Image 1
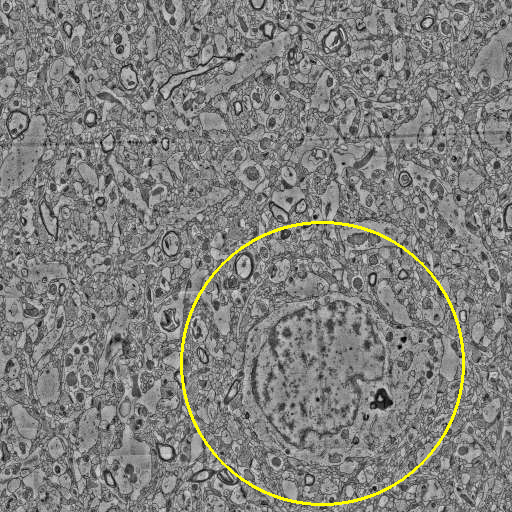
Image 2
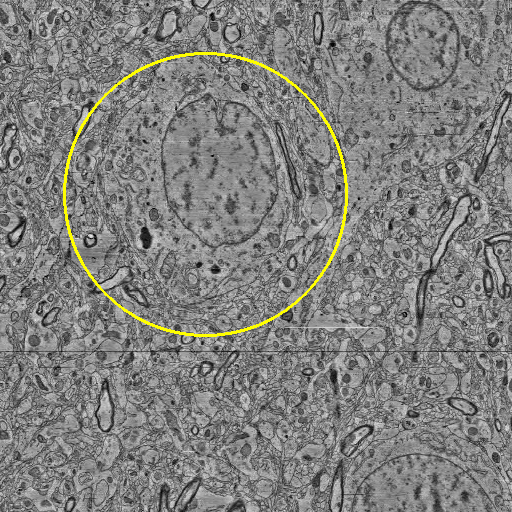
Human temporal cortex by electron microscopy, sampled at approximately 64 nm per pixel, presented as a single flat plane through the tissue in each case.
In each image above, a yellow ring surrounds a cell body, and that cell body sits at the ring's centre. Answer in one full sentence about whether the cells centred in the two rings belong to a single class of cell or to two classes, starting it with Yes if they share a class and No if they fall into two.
No, the cells centred in the two yellow rings belong to two classes of cell.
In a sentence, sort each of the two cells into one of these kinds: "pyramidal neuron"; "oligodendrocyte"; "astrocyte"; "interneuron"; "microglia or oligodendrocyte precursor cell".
The first of the two cells is an interneuron, and the second is a pyramidal neuron.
